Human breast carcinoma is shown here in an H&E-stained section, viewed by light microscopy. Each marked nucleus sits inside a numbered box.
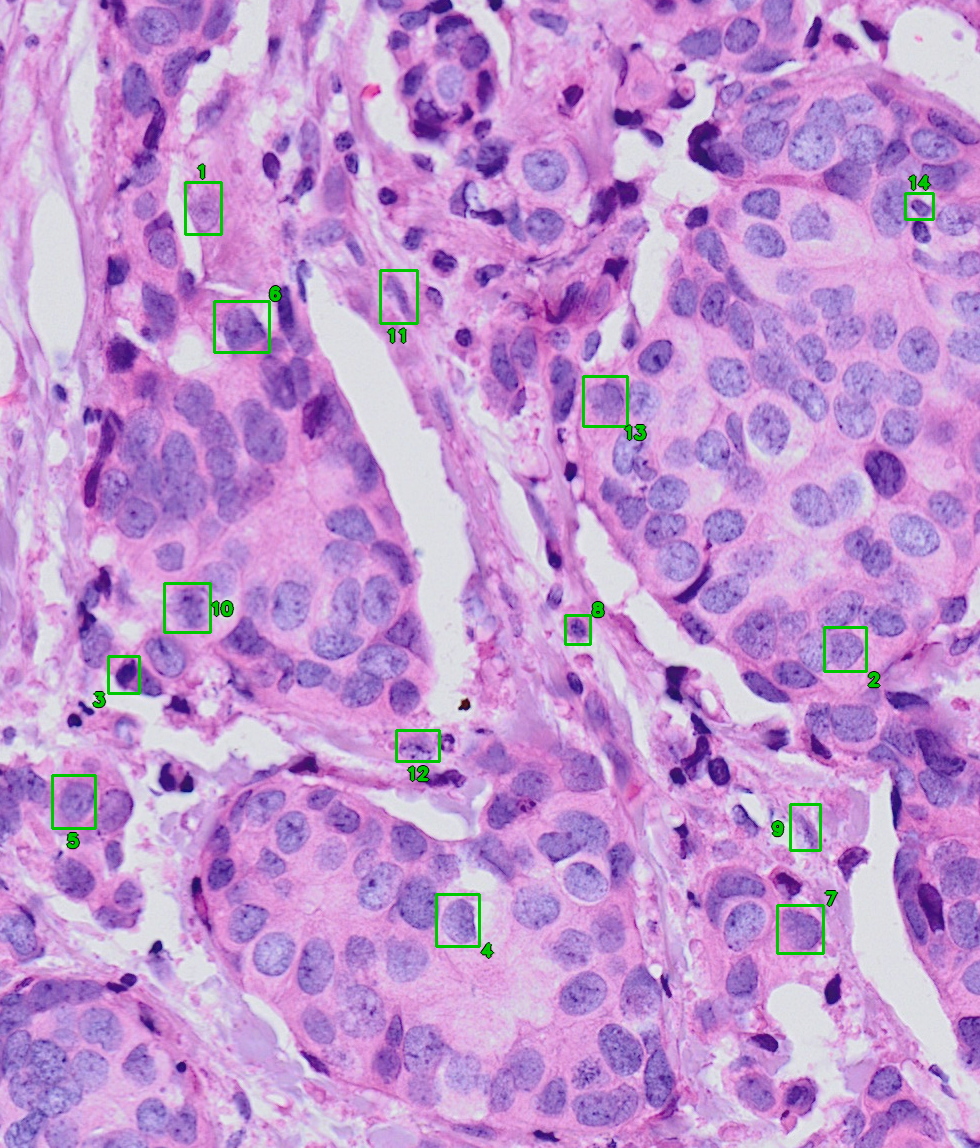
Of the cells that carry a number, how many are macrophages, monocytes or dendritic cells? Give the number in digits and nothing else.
1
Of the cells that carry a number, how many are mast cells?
1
